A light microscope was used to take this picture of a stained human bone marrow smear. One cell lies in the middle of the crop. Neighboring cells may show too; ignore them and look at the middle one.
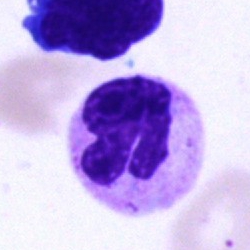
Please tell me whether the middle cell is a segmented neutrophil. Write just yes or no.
yes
